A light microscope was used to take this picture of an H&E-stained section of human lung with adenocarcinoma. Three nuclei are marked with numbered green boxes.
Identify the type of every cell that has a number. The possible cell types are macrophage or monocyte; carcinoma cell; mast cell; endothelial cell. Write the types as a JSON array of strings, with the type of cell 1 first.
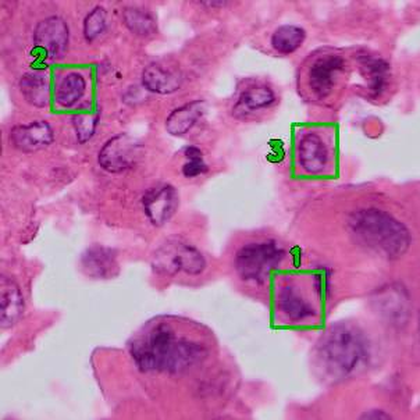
["carcinoma cell", "macrophage or monocyte", "macrophage or monocyte"]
